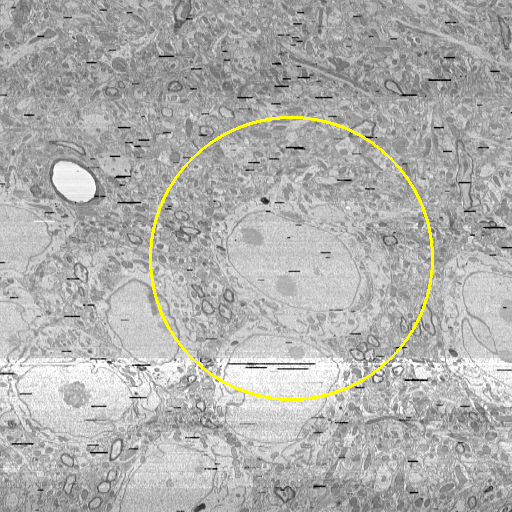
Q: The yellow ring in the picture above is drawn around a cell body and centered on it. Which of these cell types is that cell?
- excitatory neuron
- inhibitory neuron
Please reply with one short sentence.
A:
The cell body at the ring's center belongs to an excitatory neuron.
